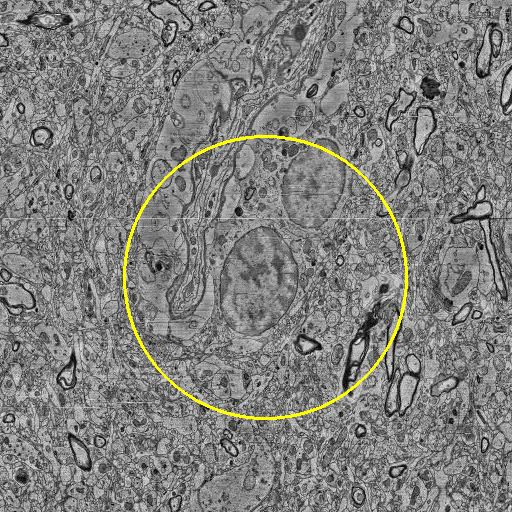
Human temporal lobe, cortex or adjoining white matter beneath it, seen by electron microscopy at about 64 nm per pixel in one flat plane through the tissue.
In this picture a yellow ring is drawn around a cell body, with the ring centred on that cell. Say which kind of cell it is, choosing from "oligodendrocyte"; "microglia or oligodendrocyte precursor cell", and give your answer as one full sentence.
Here it is an oligodendrocyte that sits at the centre of the drawn yellow ring.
